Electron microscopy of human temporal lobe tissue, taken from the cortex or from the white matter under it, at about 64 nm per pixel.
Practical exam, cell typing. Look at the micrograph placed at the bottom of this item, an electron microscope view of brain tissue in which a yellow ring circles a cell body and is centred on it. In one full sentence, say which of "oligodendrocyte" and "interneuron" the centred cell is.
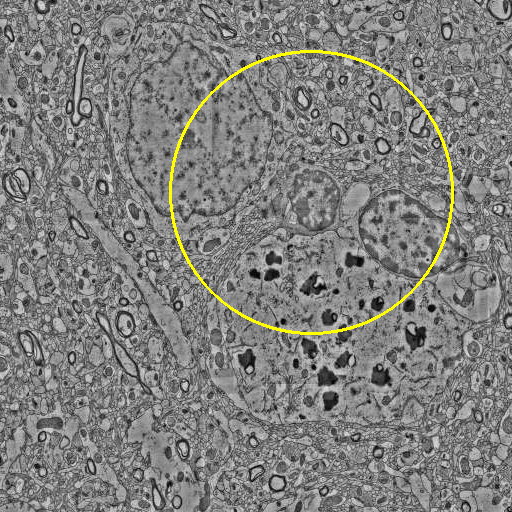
Given the options, an oligodendrocyte fits the cell whose body the yellow ring is centred on.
